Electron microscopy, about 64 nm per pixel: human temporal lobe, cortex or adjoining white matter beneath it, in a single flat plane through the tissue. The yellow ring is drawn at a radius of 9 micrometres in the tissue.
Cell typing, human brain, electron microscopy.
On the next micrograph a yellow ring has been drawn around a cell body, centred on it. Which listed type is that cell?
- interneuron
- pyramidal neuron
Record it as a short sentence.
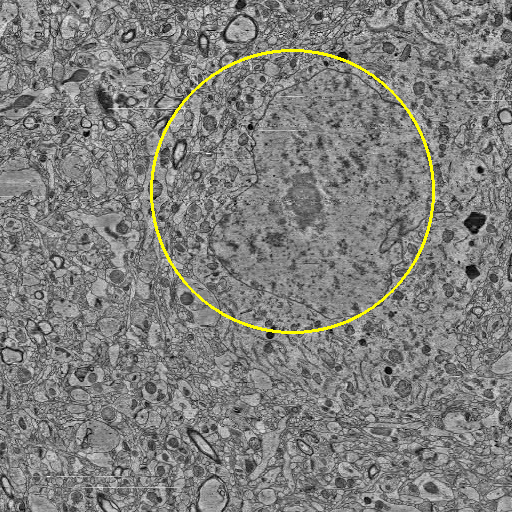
The cell body in the ring's centre belongs to a pyramidal neuron.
